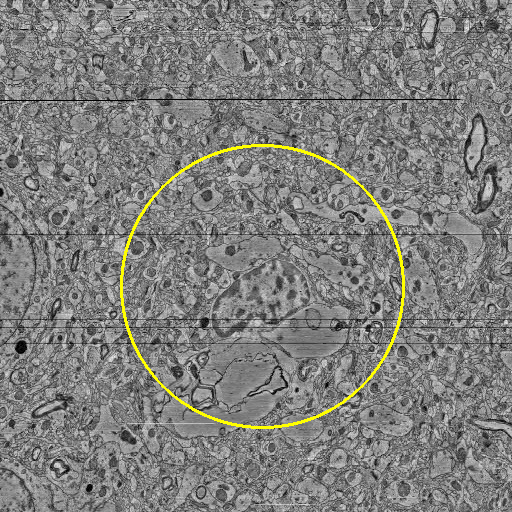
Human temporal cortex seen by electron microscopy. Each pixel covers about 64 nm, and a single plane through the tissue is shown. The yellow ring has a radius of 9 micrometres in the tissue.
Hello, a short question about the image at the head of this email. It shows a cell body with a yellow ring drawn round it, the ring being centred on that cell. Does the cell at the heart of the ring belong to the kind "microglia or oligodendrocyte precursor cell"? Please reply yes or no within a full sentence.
Yes, the cell at the heart of the ring in that image is of that kind.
